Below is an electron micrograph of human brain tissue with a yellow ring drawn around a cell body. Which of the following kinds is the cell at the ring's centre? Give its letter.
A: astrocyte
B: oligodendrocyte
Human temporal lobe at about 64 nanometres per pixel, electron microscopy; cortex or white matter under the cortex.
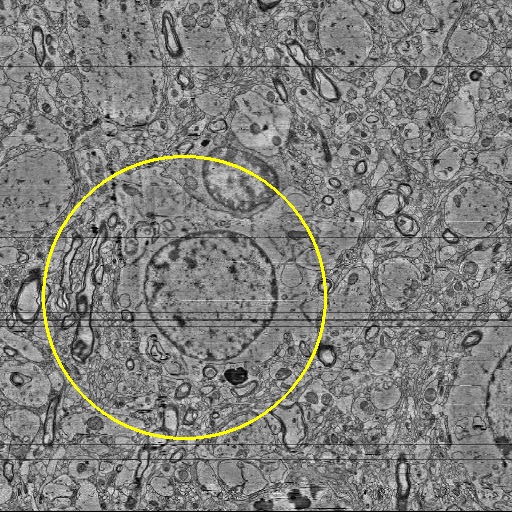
A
